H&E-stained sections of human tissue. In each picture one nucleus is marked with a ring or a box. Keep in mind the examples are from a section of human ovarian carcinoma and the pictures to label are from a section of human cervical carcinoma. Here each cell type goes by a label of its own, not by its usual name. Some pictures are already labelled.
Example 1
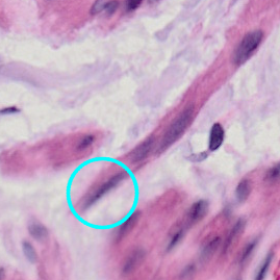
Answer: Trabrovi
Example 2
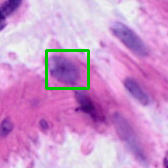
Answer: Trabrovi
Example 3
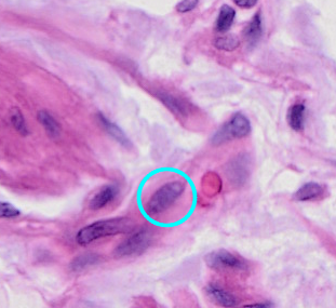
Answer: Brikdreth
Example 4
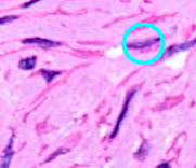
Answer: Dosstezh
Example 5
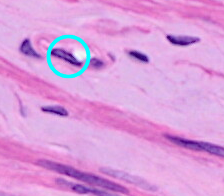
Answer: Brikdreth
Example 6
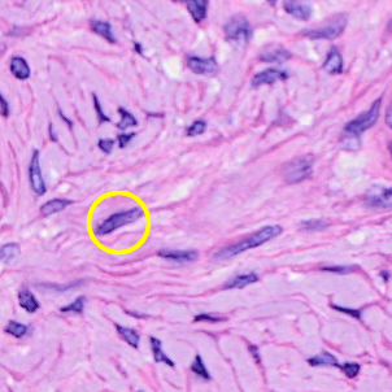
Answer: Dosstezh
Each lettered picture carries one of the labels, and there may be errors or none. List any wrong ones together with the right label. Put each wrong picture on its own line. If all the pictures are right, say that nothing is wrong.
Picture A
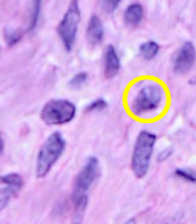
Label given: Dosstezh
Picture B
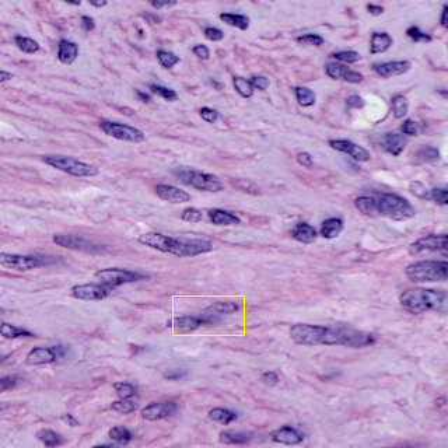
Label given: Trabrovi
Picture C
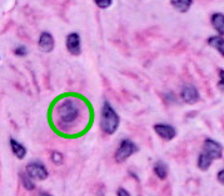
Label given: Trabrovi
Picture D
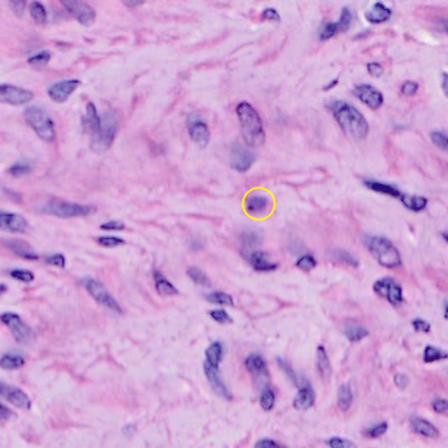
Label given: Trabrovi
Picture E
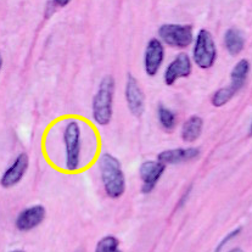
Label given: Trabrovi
E is labelled Trabrovi; correct label: Dosstezh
